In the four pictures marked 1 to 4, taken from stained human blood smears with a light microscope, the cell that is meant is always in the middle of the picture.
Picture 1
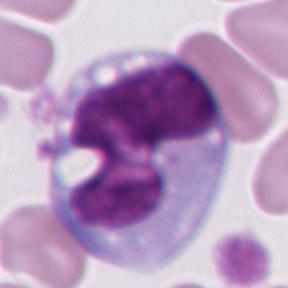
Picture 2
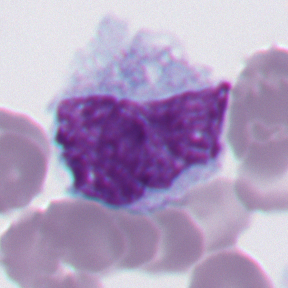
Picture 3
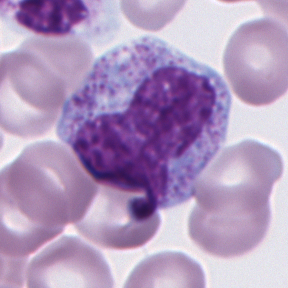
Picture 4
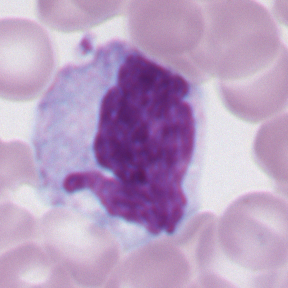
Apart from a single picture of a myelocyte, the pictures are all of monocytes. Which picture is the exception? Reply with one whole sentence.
The myelocyte is the one in picture 3.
